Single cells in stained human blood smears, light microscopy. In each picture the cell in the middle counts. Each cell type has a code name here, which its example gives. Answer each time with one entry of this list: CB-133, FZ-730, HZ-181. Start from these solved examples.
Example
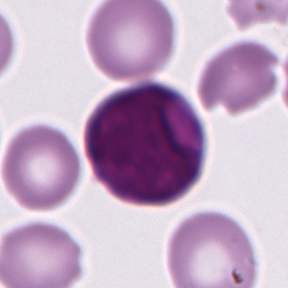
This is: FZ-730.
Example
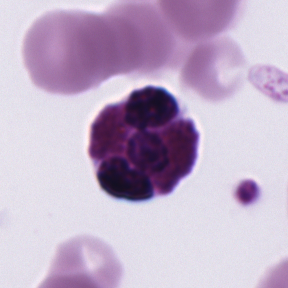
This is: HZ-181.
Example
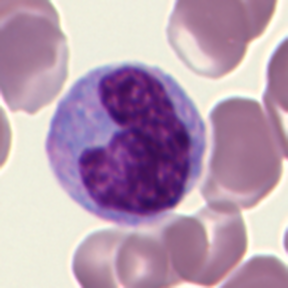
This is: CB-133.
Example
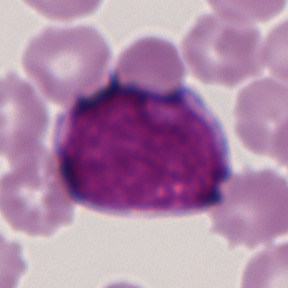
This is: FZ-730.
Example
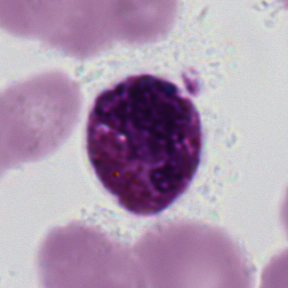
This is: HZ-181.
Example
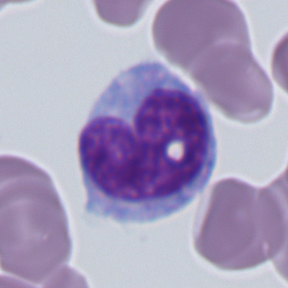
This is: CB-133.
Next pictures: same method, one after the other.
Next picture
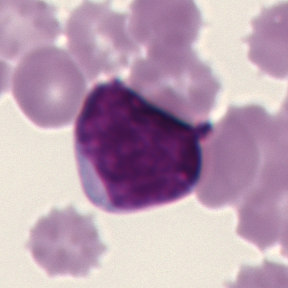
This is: FZ-730.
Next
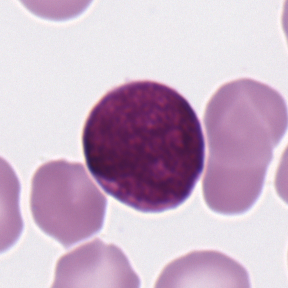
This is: FZ-730.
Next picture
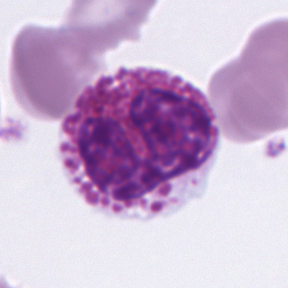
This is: HZ-181.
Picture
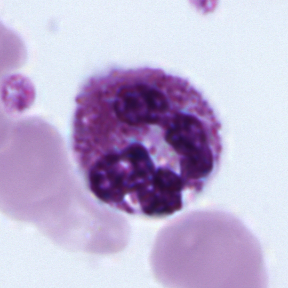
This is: HZ-181.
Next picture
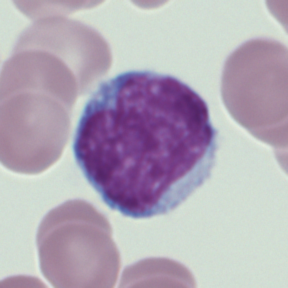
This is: CB-133.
